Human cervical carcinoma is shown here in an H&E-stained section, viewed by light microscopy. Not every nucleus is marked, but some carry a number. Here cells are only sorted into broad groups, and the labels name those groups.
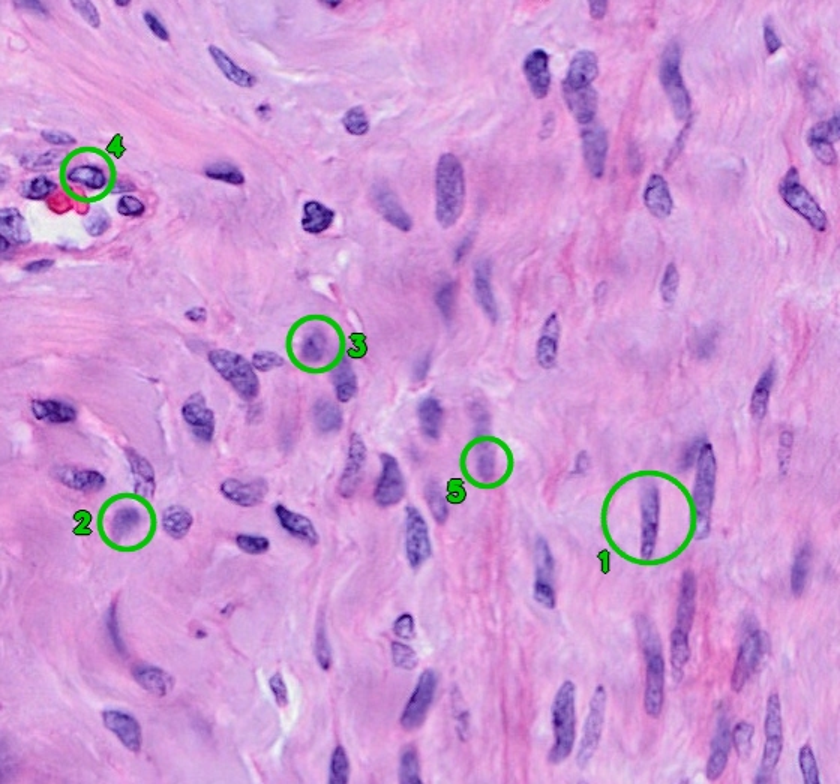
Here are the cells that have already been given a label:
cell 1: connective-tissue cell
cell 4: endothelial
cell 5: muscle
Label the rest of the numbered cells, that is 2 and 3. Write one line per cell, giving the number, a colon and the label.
2: connective-tissue cell
3: connective-tissue cell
